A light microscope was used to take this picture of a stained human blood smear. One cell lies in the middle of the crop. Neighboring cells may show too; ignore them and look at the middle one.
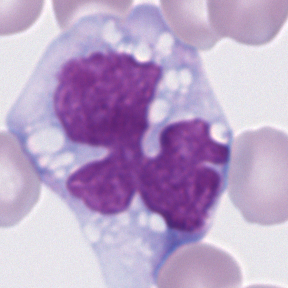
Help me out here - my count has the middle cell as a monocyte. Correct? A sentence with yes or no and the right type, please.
Yes, the cell lying in the middle is a monocyte.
